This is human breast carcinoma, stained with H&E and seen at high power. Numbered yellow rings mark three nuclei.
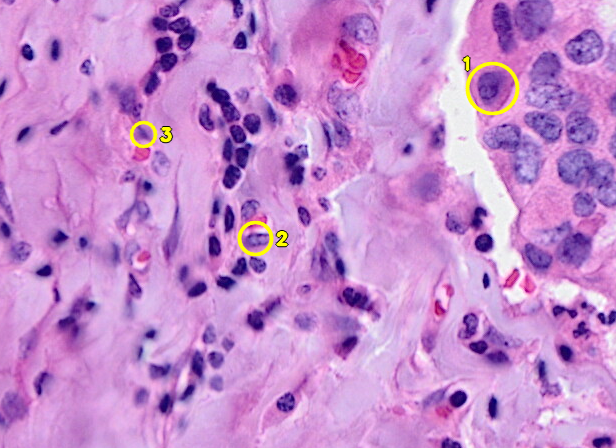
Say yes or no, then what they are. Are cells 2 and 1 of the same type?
No, that's wrong; cell 2 is an endothelial cell and cell 1 is a carcinoma cell.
